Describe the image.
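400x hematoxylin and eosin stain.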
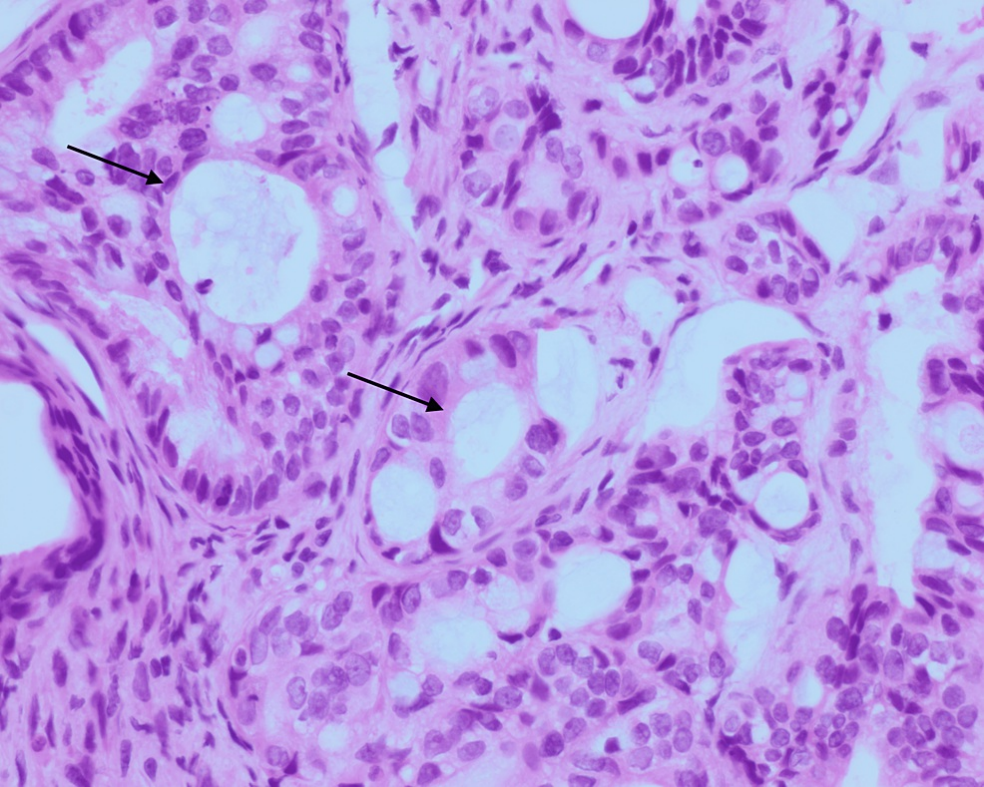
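This high-power view shows an adenocarcinoma in which malignant epithelial cells form crowded, irregular gland-like structures around open lumina. The tumour cells have enlarged oval to round nuclei that vary in size and shape, many with open chromatin and small nucleoli, lying in pink cytoplasm. Numerous clear vacuoles of different sizes lie within the cell clusters, and some large rounded spaces contain pale, wispy material. Between the glands run thin strands of pink stroma with elongated, spindle-shaped nuclei. The epithelium is piled up in places rather than forming a single orderly layer.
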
